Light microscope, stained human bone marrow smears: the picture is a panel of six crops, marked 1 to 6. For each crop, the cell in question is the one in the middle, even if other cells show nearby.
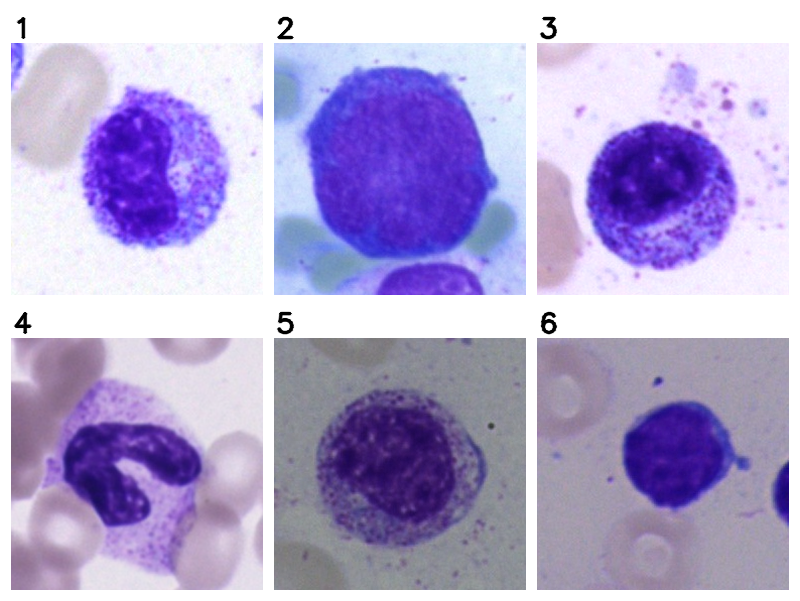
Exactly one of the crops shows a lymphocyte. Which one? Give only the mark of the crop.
6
